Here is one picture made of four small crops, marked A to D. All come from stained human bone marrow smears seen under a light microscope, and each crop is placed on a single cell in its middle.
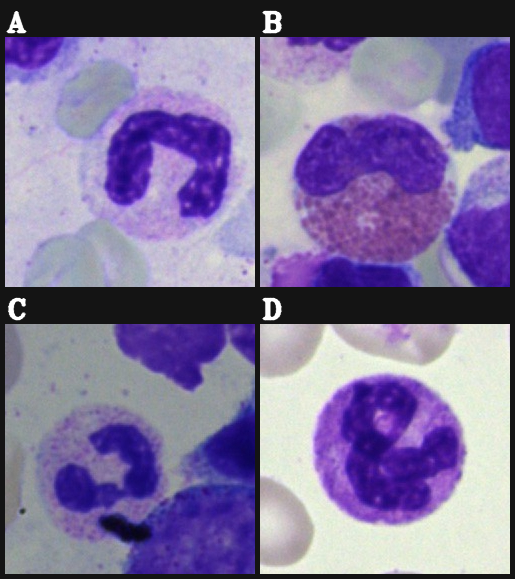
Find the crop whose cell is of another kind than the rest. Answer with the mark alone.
B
